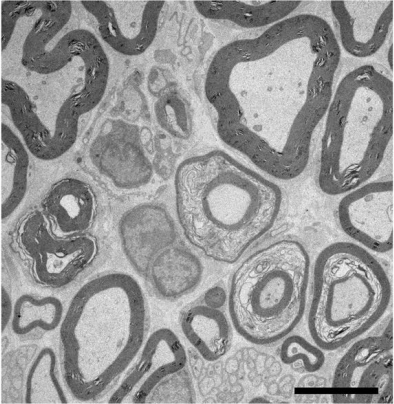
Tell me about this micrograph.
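Here the nerve is cut across, so each axon appears as a pale round profile ringed by a dark myelin sheath. Many rings are intact, but several fibres show loosened, bubbly, layered myelin, and some axons are shrunken and misshapen within it. Small clusters of unmyelinated fibres lie in between.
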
